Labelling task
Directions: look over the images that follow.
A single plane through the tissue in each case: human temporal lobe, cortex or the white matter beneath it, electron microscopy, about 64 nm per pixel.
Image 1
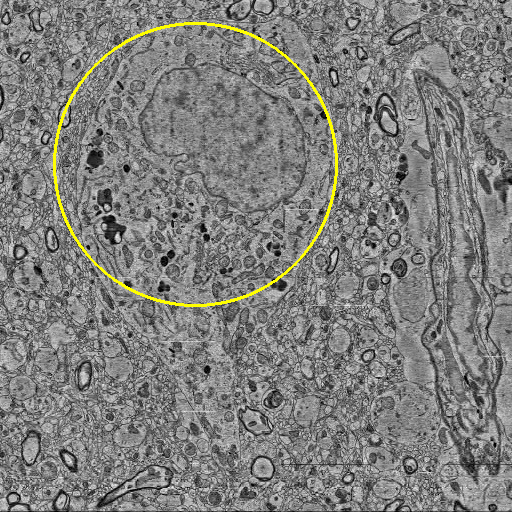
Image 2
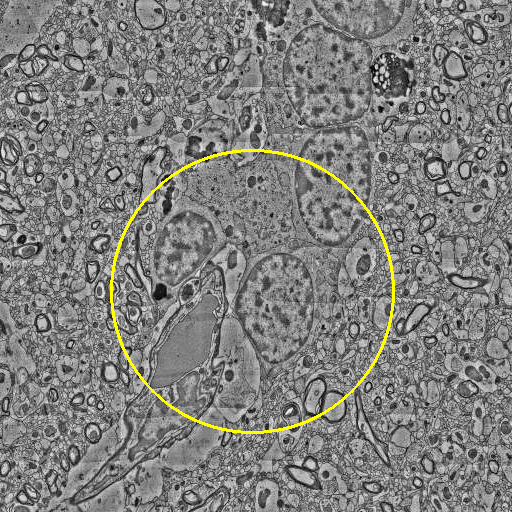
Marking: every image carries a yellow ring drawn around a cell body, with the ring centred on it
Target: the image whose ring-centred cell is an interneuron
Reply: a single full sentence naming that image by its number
The requested cell sits at the ring's centre in Image 1.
